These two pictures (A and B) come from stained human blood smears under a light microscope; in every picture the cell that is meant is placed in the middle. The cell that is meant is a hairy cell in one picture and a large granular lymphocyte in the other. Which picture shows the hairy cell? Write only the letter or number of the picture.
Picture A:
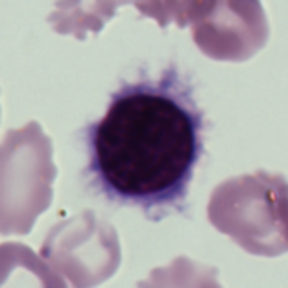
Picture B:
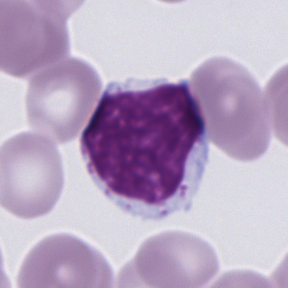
A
